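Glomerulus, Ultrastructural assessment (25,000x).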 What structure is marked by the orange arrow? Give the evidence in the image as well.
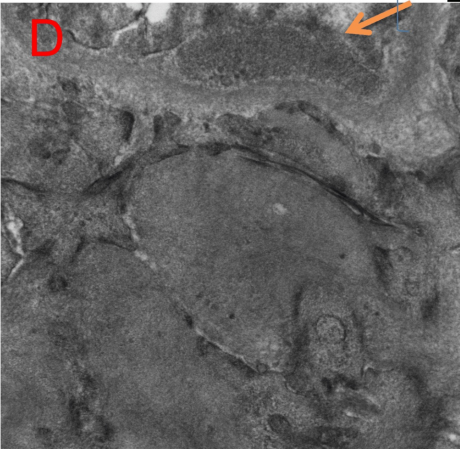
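The arrow points to a band of mottled, granular-textured material at the top of the panel. This material lies against a membrane-like band separating it from the larger homogeneous area below. The answer: granular epimembranous (arrow) deposits.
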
